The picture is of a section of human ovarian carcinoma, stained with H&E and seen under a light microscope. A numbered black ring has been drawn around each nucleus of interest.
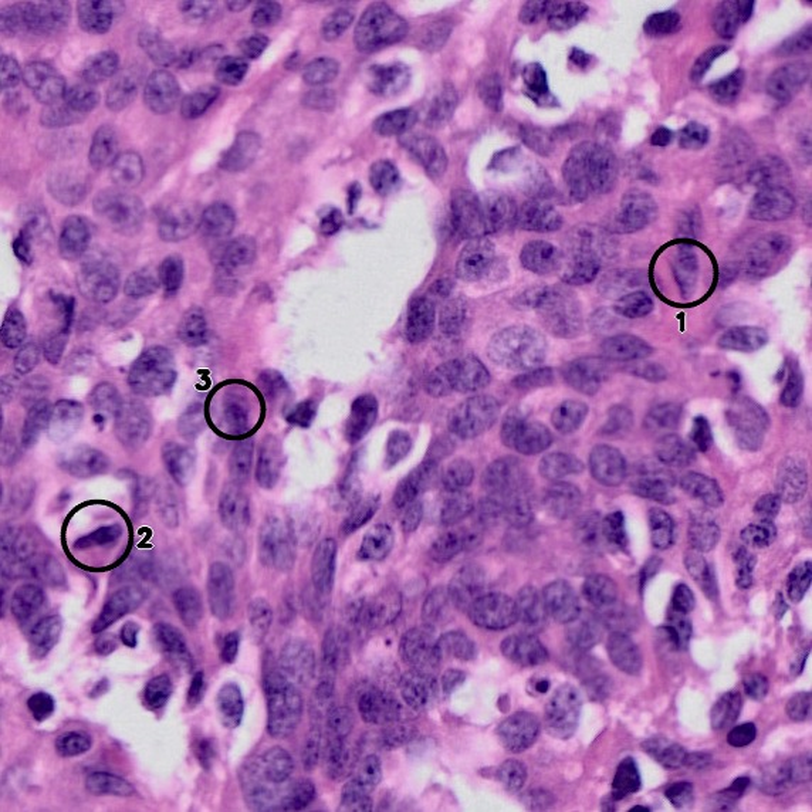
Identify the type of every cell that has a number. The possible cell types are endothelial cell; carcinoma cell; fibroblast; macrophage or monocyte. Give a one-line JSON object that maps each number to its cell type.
{"1": "endothelial cell", "2": "macrophage or monocyte", "3": "carcinoma cell"}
